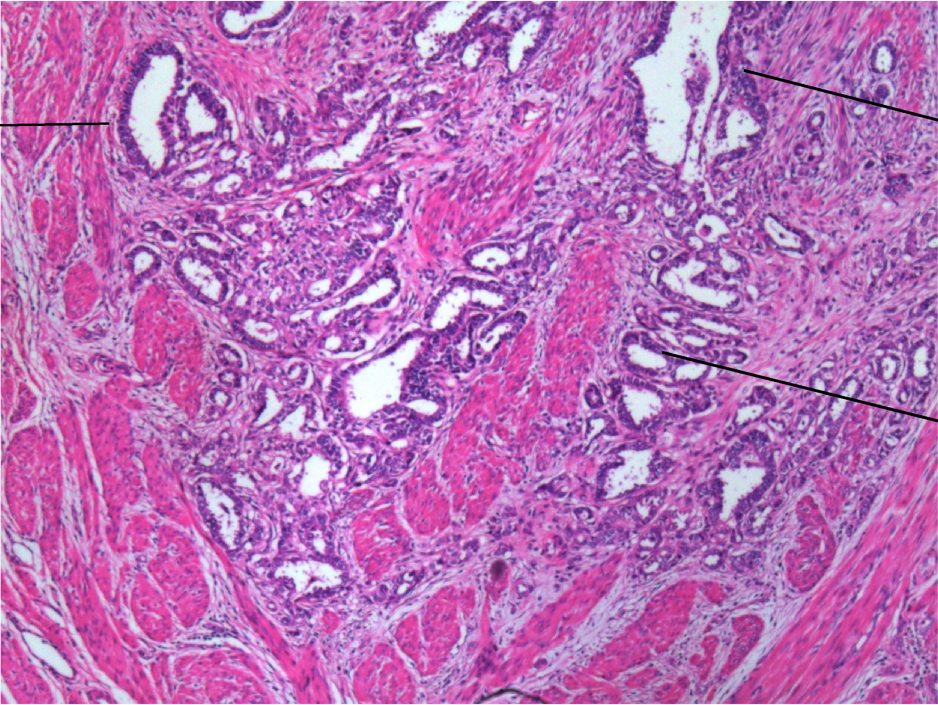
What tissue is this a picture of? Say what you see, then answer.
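Bundles of pink smooth muscle cells with elongated nuclei run through the field, cut both lengthwise and across. Purple glandular structures lie between and among the muscle bundles. That points to this answer: muscular layer.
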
